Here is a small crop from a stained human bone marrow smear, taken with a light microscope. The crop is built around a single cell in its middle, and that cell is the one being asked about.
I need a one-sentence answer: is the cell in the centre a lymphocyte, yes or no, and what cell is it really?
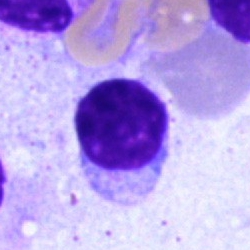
Yes, the cell centred in the field of view is a lymphocyte.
